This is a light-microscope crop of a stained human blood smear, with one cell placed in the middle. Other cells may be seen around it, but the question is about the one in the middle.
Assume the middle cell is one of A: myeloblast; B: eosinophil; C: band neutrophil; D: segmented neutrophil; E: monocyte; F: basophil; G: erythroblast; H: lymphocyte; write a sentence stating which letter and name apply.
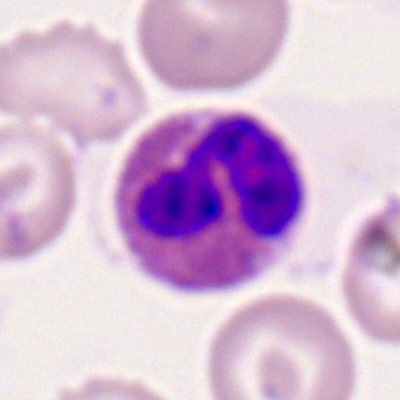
The cell in the middle is an eosinophil, so option B is correct.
